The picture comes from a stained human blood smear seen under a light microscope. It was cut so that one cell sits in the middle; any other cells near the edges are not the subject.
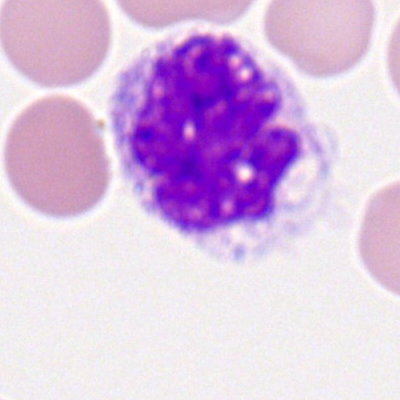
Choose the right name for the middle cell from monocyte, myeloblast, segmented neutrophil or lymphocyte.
monocyte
